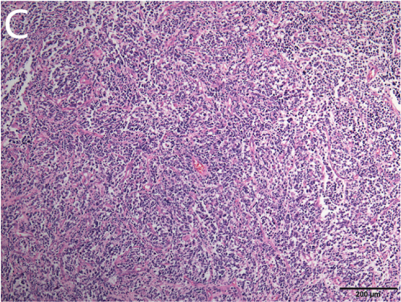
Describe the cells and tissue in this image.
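This low-power view shows a densely cellular tumor composed of poorly differentiated cells. The cells have dark purple nuclei and little cytoplasm and are packed into sheets and cords. Thin pink strands and small vessels run through the tissue and divide it into irregular groups. No orderly layering of cells is seen across the field.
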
